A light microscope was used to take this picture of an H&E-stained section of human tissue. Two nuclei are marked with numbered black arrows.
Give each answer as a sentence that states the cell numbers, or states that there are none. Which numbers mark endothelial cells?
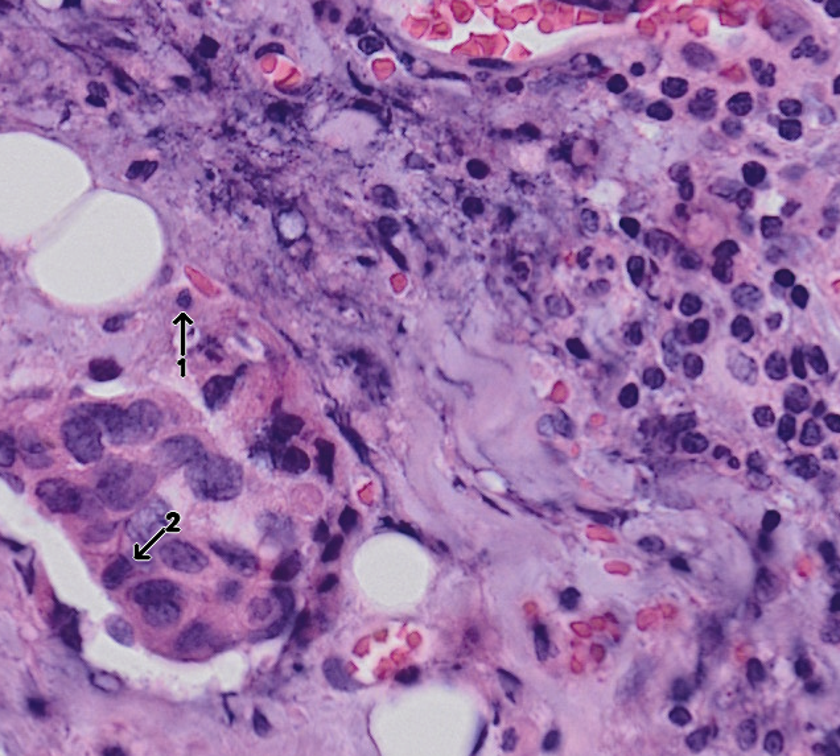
Only cell 1 should be marked as an endothelial cell.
